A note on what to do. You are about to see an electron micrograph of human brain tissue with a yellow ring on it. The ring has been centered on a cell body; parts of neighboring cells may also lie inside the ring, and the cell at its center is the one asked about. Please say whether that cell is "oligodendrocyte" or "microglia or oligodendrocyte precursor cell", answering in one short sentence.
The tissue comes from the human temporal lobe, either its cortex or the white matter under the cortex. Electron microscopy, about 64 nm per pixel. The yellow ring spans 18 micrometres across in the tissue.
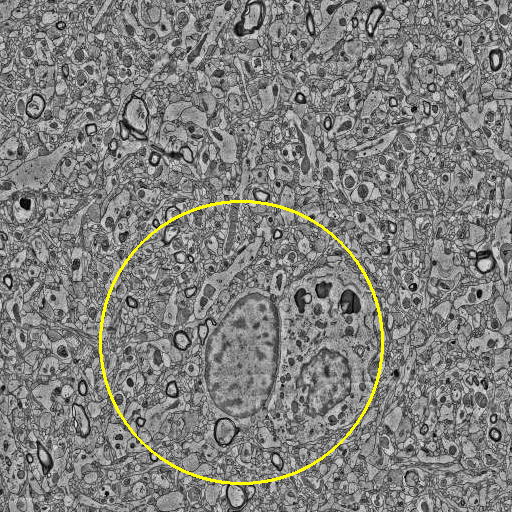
The yellow ring sits on an oligodendrocyte.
